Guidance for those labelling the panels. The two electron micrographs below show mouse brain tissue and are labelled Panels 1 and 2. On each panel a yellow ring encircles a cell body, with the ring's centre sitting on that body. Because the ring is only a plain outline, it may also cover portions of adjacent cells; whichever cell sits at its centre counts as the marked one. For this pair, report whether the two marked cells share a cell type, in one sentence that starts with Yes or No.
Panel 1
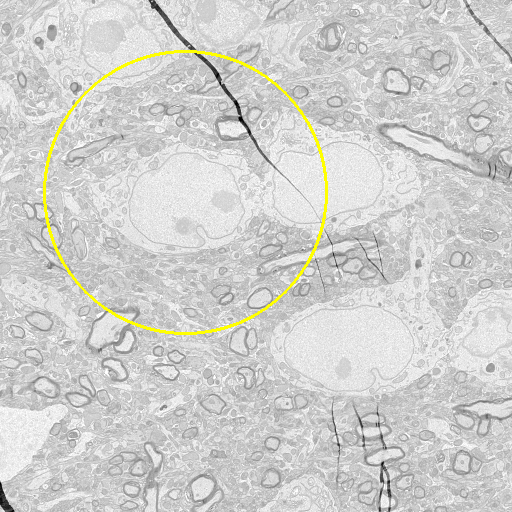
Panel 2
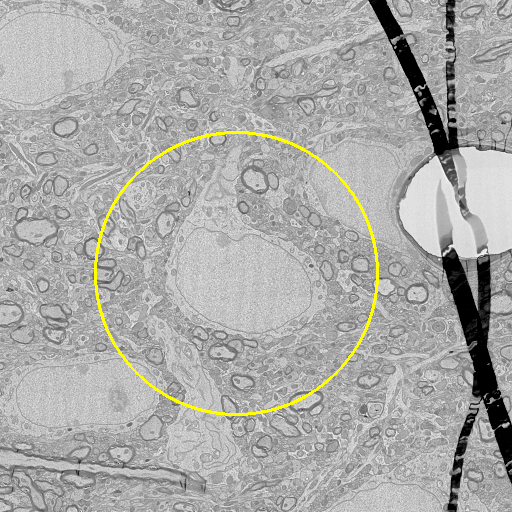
Yes, in Panel 1 and Panel 2 the marked cells at the ring centres share one type.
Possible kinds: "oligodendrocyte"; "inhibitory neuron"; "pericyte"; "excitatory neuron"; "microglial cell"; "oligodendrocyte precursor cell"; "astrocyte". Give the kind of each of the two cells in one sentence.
In the first picture and in the second, the ring is centred on an excitatory neuron.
